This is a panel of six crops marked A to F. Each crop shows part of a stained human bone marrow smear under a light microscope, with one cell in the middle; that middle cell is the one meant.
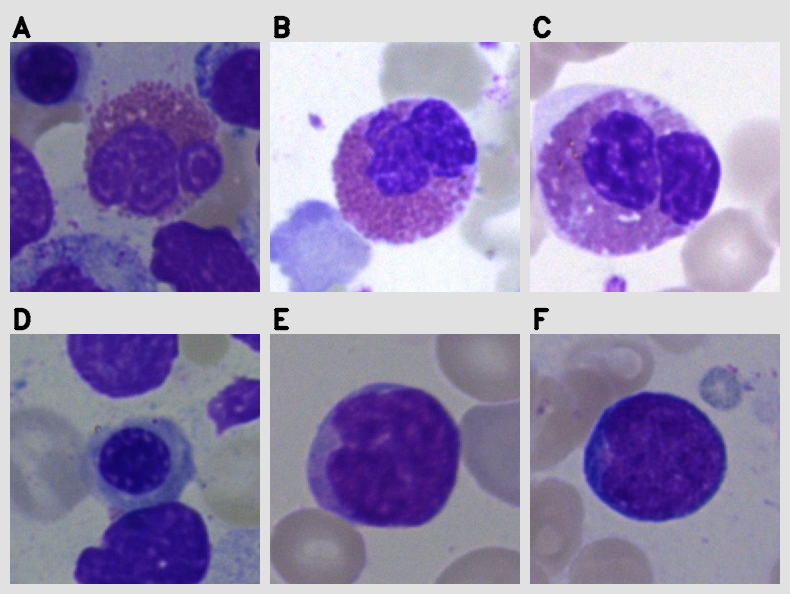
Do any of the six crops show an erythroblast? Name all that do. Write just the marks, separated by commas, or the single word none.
D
